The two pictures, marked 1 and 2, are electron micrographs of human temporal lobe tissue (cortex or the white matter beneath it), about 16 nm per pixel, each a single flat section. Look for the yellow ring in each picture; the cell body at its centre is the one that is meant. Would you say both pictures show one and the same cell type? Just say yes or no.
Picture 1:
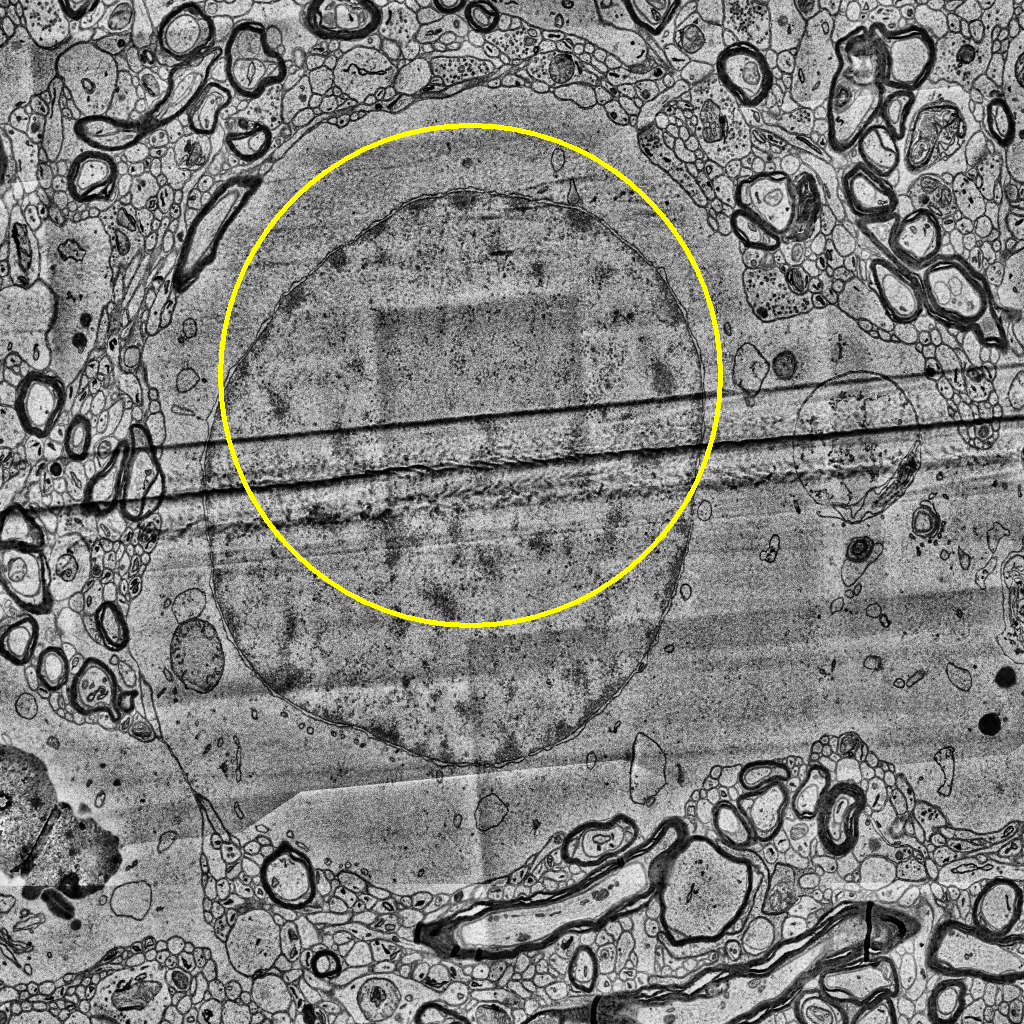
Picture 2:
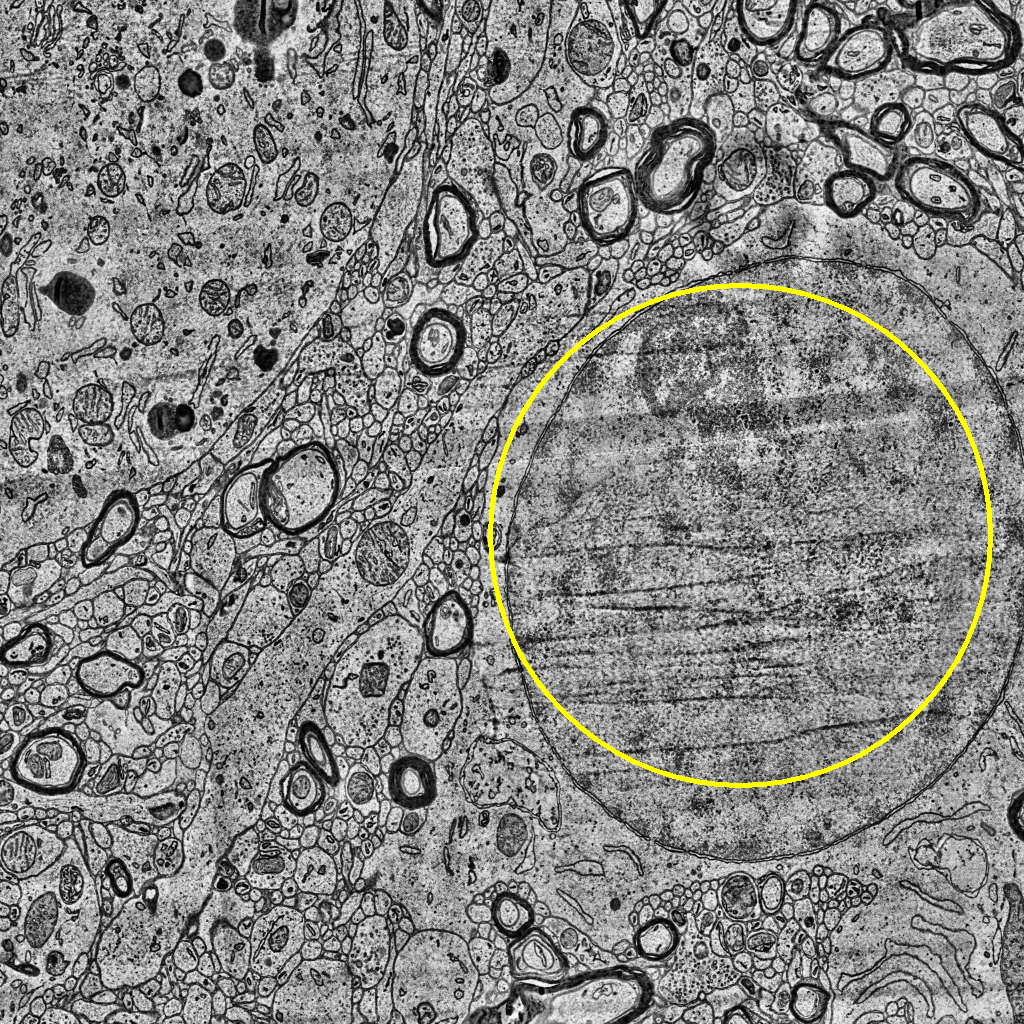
yes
